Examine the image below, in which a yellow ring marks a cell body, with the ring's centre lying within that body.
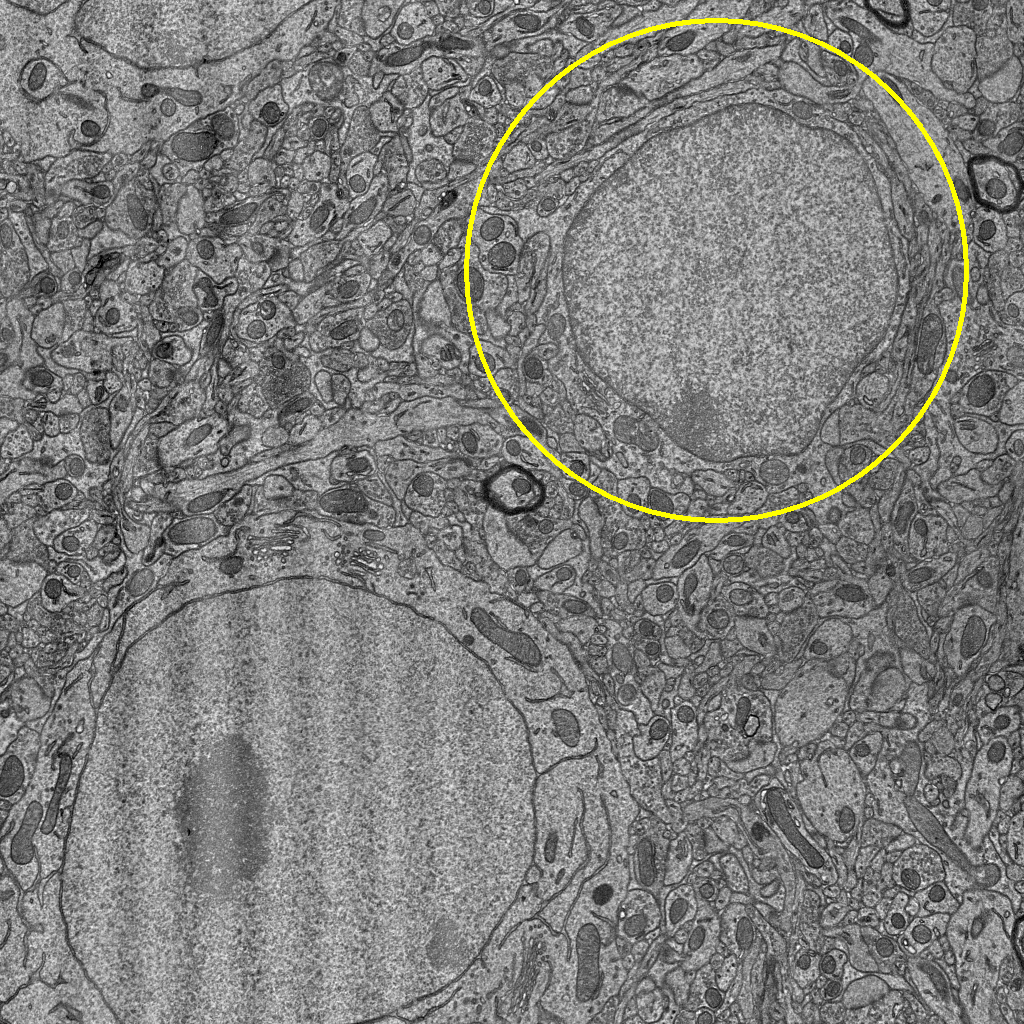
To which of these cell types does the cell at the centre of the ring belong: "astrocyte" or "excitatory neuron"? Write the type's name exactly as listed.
astrocyte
